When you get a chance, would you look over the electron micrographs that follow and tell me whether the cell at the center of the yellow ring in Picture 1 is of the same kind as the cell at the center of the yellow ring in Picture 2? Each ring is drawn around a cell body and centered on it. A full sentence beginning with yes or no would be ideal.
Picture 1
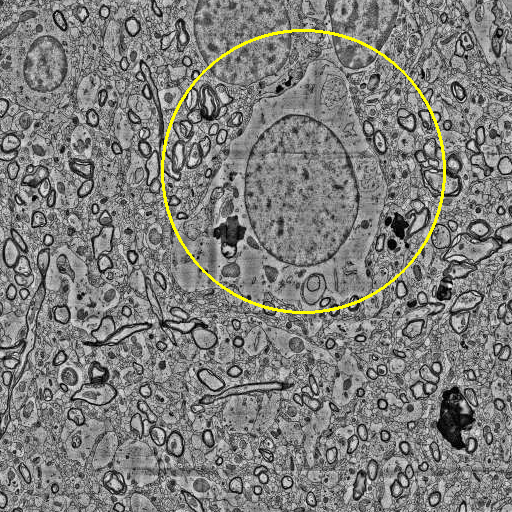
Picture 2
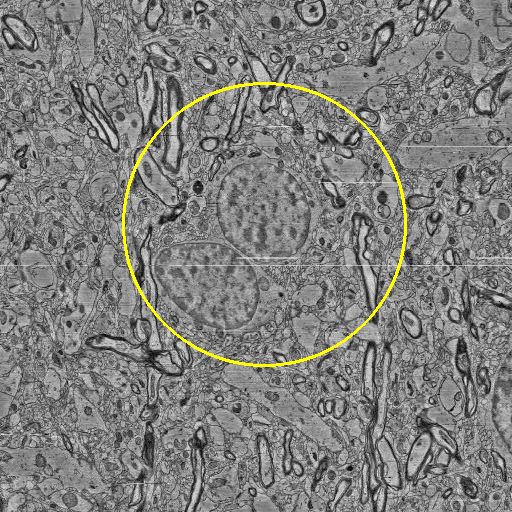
No, they are two kinds of cell.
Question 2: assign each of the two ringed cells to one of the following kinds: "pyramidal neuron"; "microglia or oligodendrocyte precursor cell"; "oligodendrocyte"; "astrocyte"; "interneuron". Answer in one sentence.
The two cells are an astrocyte in the first picture and an oligodendrocyte in the second.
